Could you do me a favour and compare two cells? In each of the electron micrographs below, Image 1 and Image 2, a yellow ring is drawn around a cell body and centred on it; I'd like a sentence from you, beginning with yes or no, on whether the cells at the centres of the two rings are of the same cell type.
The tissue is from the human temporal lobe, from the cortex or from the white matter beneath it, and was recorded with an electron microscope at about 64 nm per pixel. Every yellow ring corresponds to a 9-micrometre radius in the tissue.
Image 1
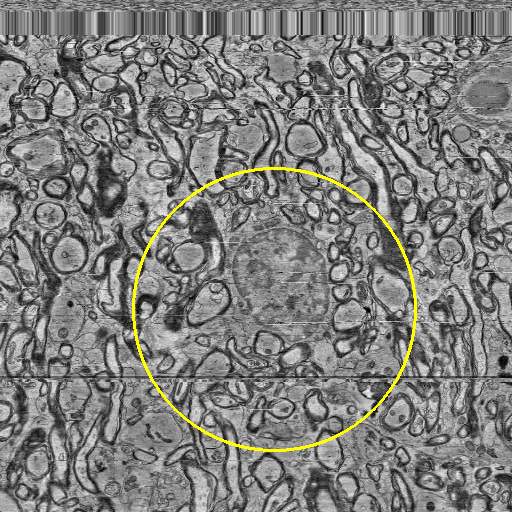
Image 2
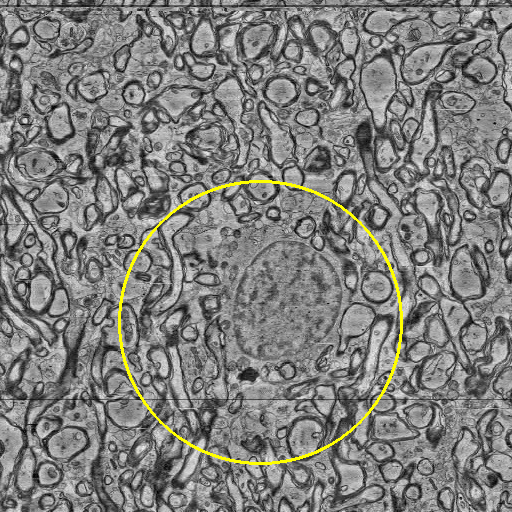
Yes, the two cells are of the same cell type.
